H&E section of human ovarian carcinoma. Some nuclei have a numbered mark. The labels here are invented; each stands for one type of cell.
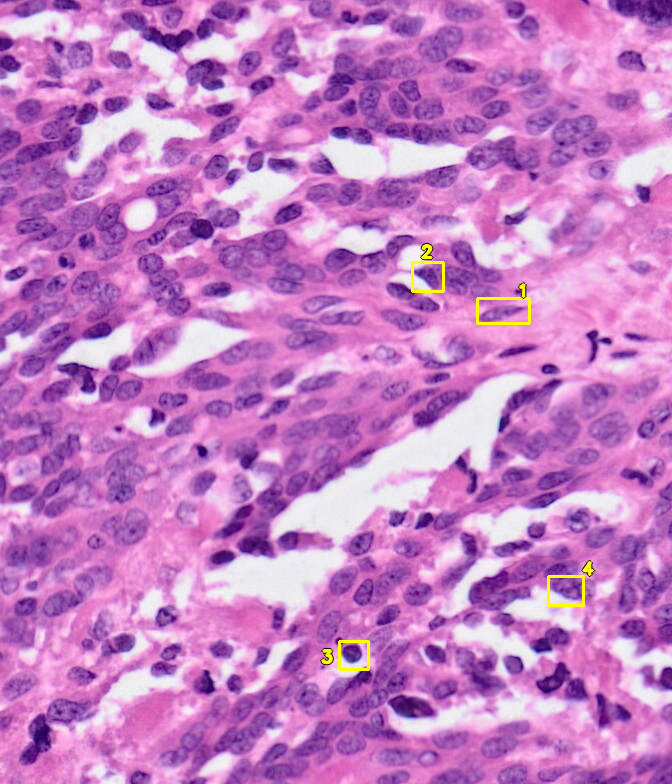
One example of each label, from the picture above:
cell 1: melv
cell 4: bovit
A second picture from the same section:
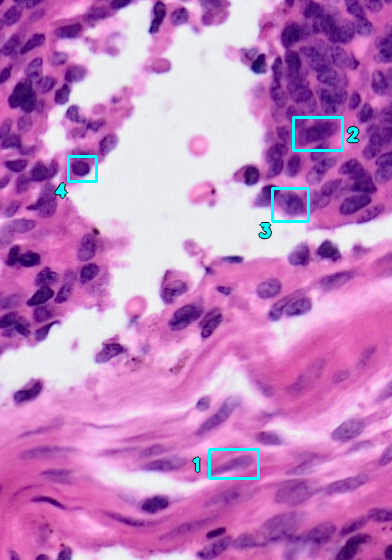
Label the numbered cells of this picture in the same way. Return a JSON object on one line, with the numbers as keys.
{"1": "melv", "2": "bovit", "3": "bovit", "4": "bovit"}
